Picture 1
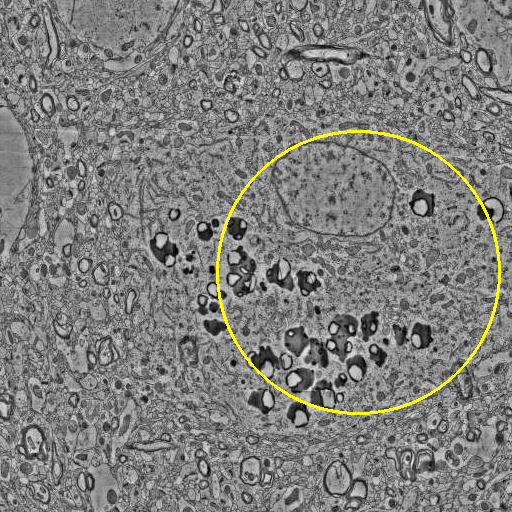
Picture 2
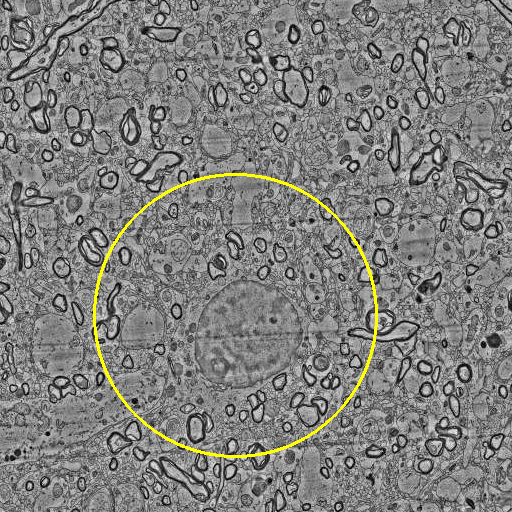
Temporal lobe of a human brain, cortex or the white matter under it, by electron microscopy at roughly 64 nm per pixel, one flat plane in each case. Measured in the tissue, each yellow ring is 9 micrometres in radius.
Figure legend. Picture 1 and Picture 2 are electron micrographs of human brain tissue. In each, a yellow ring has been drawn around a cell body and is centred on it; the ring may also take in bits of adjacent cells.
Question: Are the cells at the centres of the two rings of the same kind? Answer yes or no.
no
